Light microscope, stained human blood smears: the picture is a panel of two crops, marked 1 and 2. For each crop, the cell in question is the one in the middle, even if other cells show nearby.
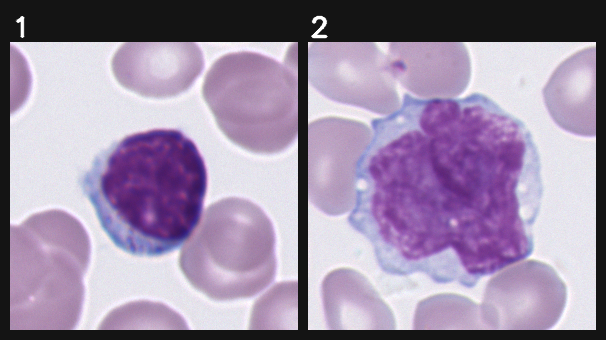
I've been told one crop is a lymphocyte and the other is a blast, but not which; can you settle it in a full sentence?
Crop 1 is a lymphocyte, while a blast is the cell in crop 2.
